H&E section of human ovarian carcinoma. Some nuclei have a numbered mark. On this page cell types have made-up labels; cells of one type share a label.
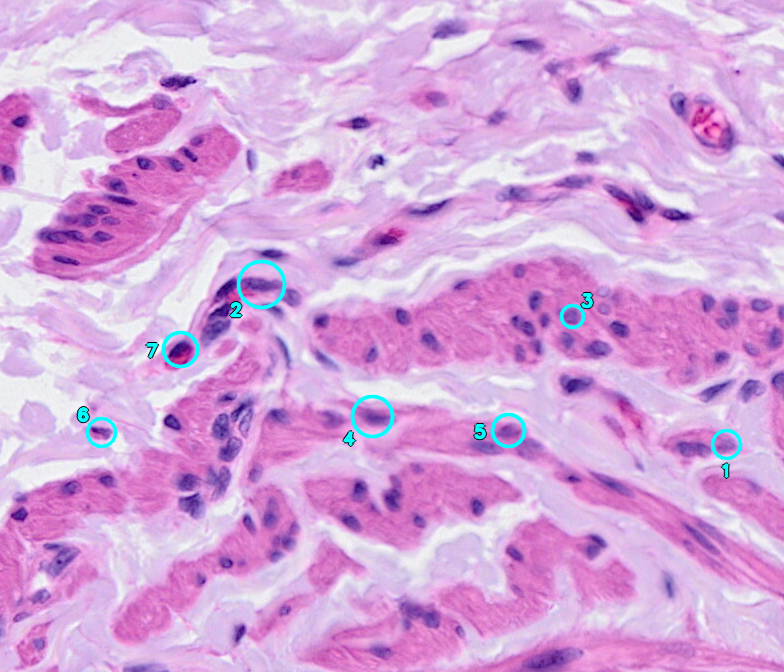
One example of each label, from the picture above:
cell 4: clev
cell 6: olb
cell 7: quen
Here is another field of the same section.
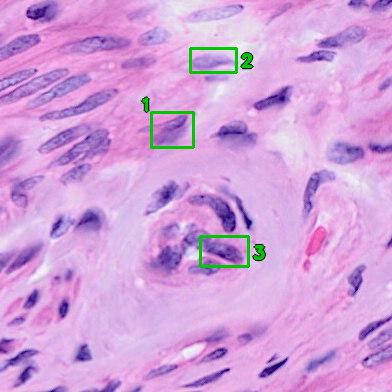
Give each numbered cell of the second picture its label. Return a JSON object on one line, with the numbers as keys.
{"1": "clev", "2": "clev", "3": "quen"}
